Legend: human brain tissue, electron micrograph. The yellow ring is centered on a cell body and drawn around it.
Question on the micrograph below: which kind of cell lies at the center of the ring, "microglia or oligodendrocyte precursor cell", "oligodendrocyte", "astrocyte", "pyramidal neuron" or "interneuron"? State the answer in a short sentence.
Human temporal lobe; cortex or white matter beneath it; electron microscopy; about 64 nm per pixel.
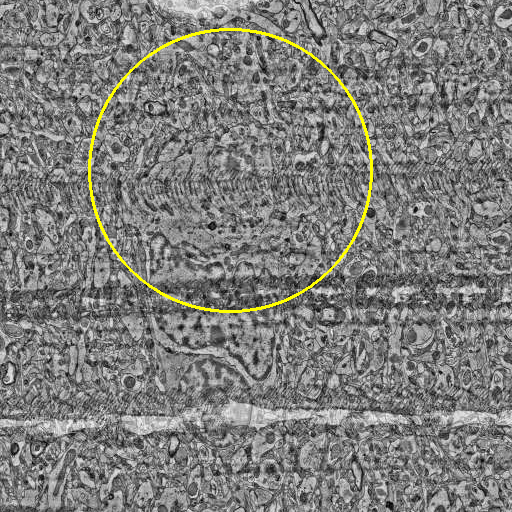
At the center of the ring lies an interneuron.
